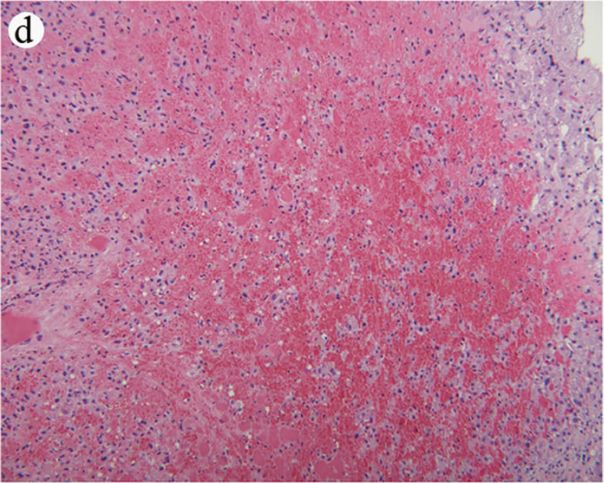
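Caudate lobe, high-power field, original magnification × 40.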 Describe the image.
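This is liver tissue with marked congestion. The spaces between the hepatocytes are widened and packed with bright red erythrocytes.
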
